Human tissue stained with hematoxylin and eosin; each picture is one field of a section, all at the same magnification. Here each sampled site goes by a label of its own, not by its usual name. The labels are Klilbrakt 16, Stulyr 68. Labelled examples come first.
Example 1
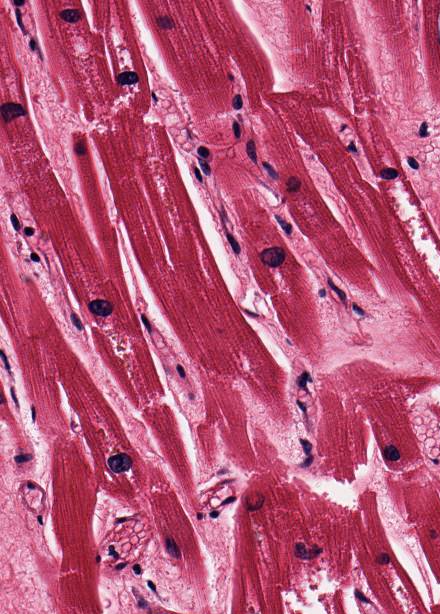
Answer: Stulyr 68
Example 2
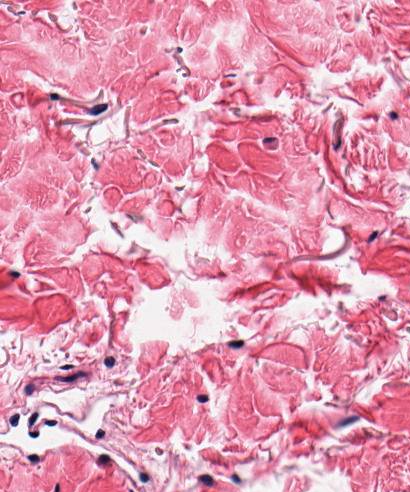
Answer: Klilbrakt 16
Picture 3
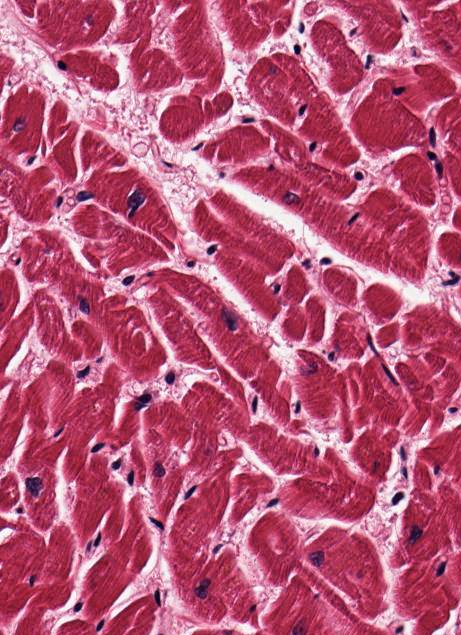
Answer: Stulyr 68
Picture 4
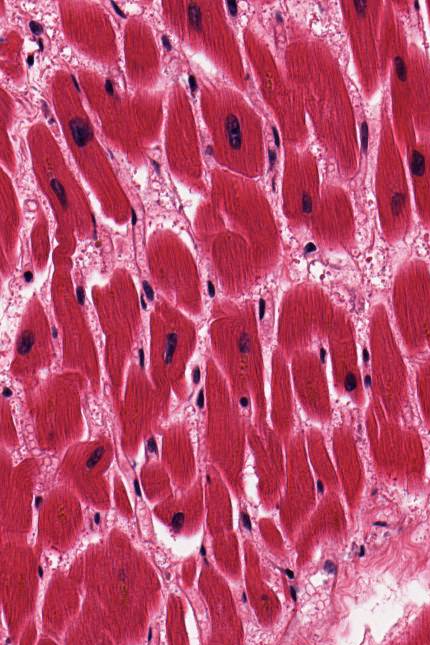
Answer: Stulyr 68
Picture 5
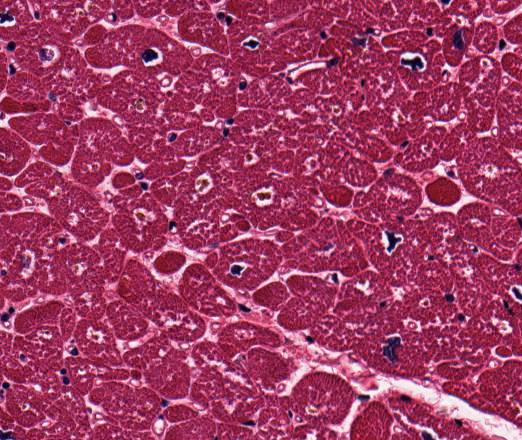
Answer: Stulyr 68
